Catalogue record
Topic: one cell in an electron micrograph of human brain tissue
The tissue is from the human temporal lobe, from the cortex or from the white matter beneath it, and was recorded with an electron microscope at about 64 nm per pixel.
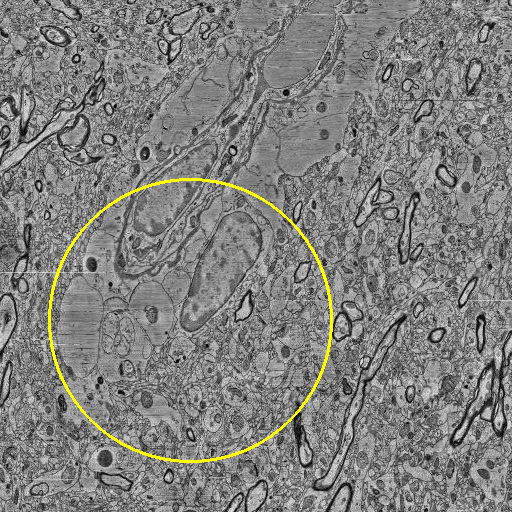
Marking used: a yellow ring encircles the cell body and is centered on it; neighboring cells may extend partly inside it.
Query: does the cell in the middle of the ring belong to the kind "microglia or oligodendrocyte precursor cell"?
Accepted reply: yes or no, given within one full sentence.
Yes, the cell centered in the ring in the picture is of that kind.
